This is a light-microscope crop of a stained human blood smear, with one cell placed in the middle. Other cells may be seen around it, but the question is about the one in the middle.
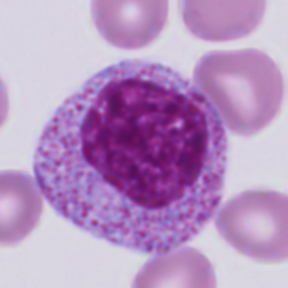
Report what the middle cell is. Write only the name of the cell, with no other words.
myelocyte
